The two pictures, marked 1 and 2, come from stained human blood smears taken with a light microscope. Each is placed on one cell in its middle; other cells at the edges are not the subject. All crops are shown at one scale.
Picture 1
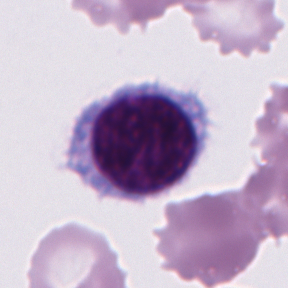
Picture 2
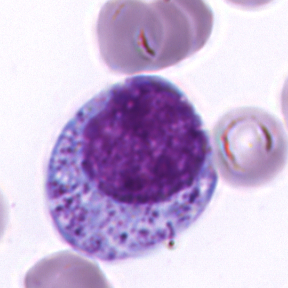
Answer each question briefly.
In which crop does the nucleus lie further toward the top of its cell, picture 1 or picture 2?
2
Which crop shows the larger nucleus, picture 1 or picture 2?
2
